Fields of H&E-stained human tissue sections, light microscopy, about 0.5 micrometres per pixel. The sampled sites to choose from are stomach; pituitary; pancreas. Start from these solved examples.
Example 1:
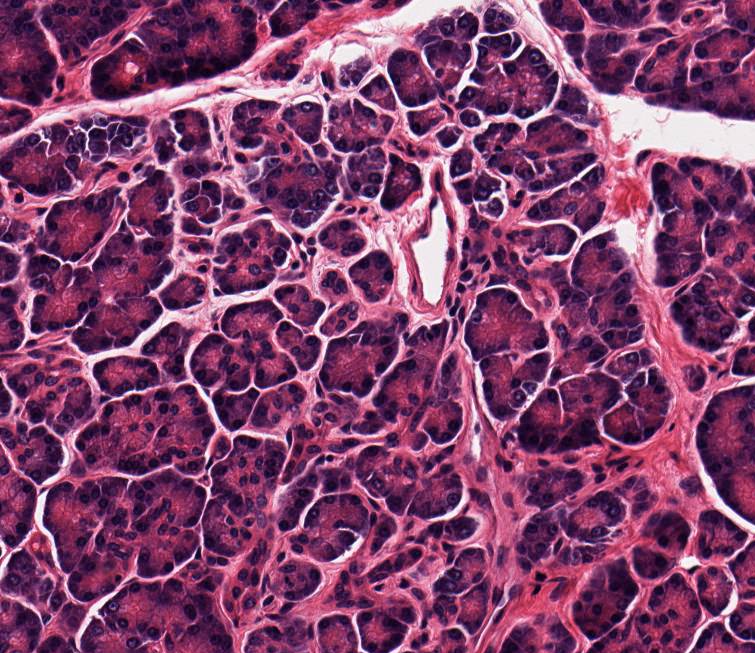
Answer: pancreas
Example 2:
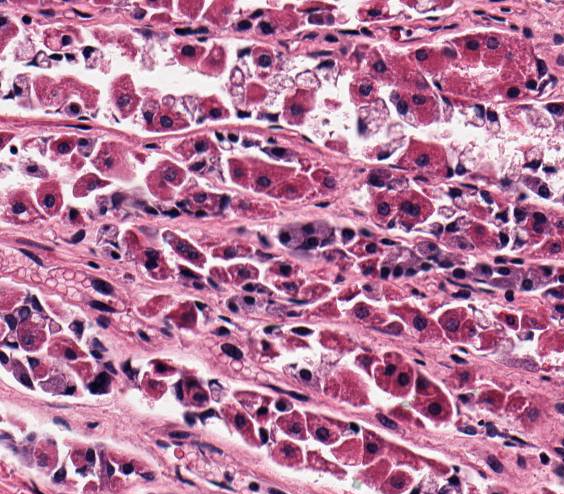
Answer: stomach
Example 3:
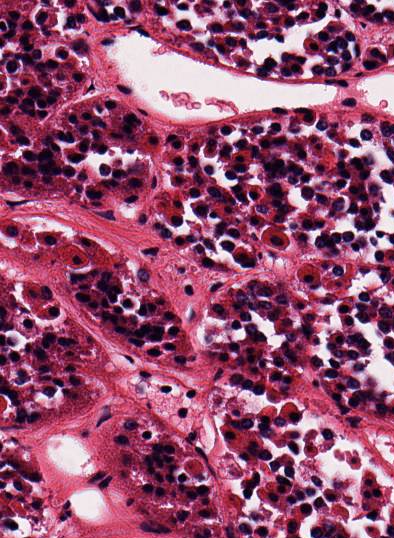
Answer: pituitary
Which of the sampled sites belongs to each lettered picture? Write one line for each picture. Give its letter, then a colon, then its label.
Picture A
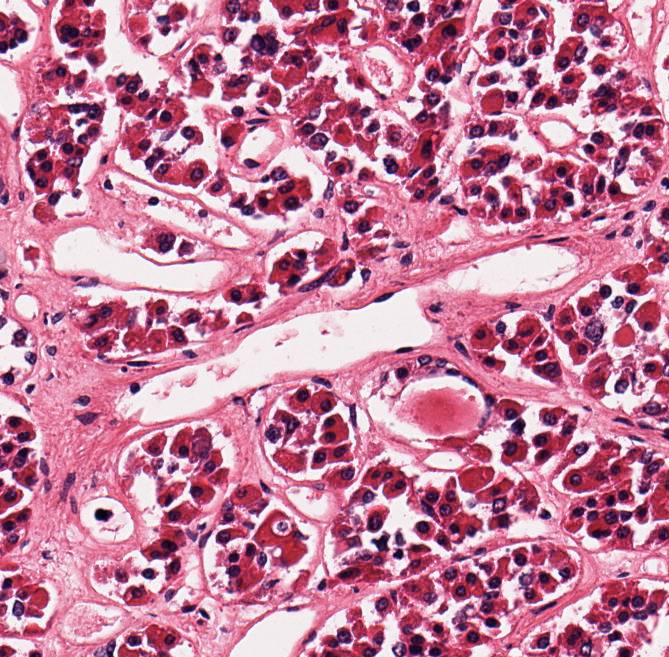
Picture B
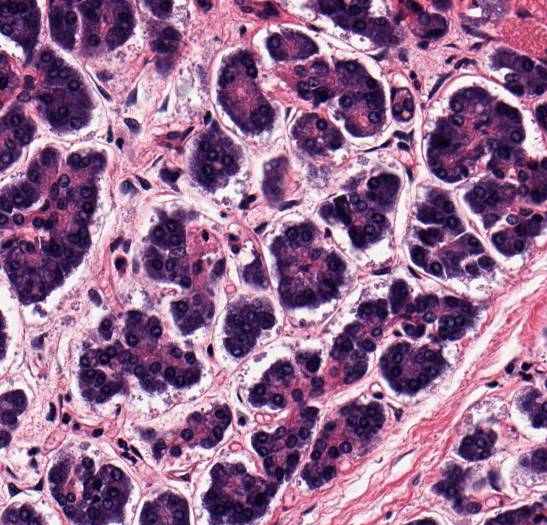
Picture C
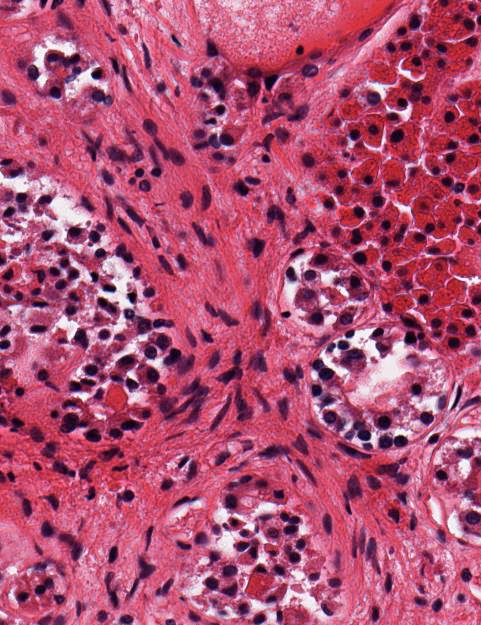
A: pituitary
B: pancreas
C: pituitary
